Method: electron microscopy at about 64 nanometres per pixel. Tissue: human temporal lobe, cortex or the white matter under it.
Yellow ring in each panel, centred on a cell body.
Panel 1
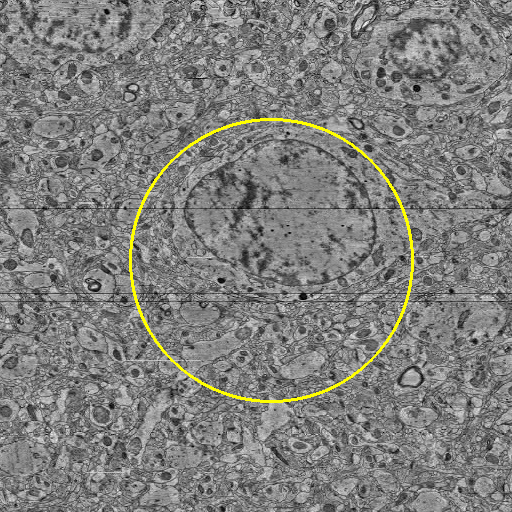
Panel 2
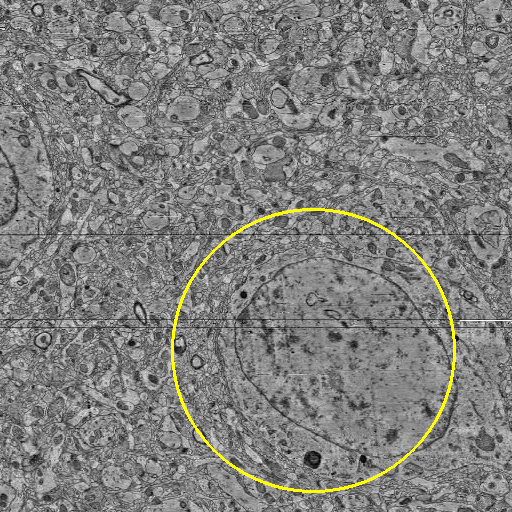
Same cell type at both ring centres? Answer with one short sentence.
Yes, both cells are of the same type.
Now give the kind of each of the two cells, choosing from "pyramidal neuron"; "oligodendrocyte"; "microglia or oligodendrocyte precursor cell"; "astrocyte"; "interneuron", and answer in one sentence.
Each cell, in the first picture and the second, is a pyramidal neuron.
